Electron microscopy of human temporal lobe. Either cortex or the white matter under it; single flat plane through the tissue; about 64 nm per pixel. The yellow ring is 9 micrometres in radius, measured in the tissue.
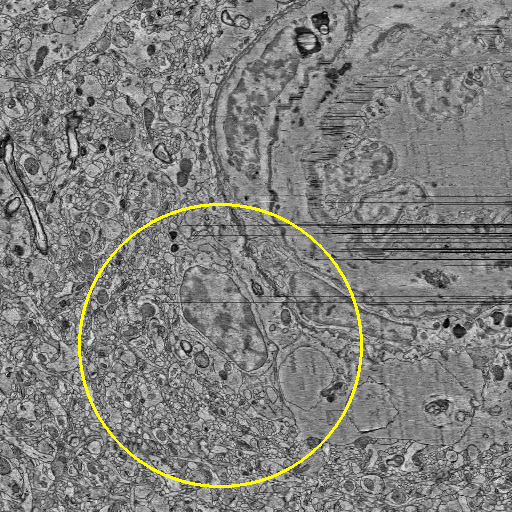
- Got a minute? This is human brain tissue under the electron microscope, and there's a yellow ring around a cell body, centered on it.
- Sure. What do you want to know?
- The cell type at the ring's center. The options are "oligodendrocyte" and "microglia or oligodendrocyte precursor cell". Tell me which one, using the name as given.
microglia or oligodendrocyte precursor cell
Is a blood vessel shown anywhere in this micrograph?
Yes, a vessel shows somewhere in the image.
